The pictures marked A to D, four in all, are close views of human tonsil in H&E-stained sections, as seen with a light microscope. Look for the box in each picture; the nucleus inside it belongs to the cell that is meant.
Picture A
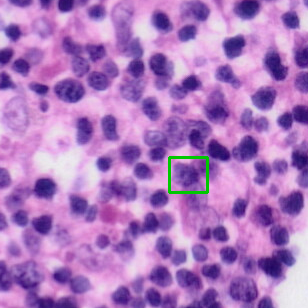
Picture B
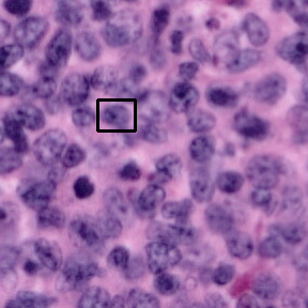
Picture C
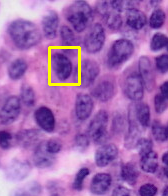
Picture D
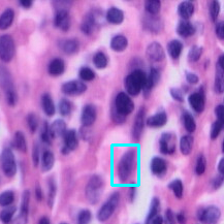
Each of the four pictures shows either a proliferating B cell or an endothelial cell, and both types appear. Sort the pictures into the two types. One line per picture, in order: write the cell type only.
proliferating B cell
proliferating B cell
proliferating B cell
endothelial cell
